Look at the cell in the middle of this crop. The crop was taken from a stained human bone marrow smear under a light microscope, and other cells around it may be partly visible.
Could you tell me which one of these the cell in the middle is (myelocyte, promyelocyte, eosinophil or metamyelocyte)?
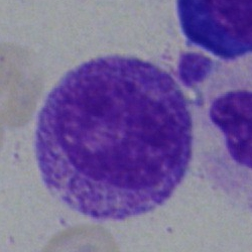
myelocyte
